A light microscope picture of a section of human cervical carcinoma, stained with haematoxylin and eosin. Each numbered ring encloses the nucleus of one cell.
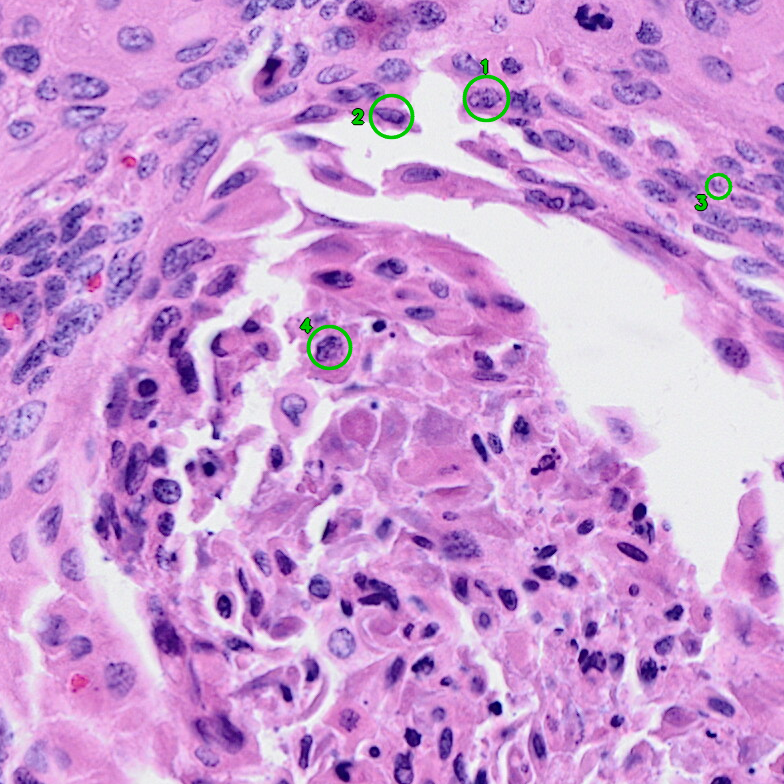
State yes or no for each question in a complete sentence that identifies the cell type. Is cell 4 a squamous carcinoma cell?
No, number 4 belongs to a macrophage or monocyte, not to a squamous carcinoma cell.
